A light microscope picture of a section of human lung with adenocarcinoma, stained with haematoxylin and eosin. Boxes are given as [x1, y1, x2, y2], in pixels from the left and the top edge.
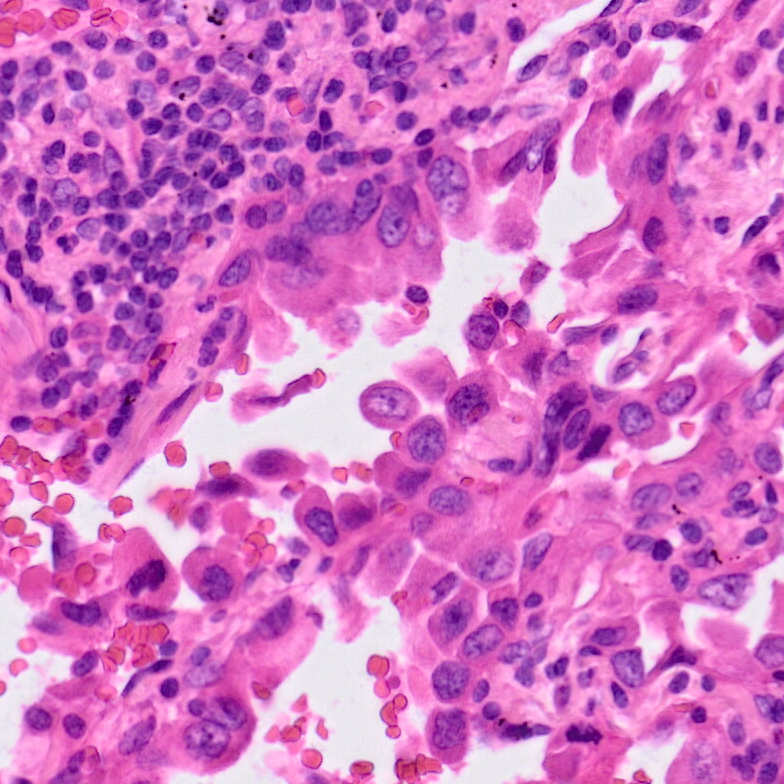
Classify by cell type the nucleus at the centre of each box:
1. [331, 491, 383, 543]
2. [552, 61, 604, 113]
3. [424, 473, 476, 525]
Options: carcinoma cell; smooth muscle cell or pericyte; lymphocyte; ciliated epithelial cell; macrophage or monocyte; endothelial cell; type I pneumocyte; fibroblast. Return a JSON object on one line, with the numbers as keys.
{"1": "carcinoma cell", "2": "lymphocyte", "3": "carcinoma cell"}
